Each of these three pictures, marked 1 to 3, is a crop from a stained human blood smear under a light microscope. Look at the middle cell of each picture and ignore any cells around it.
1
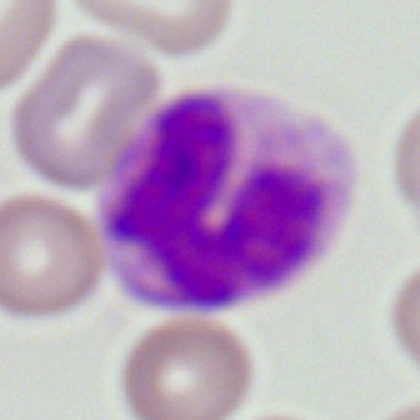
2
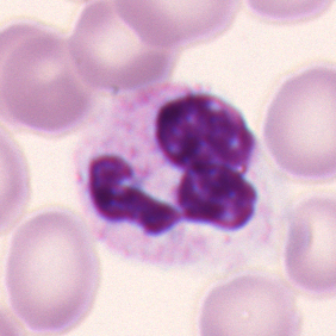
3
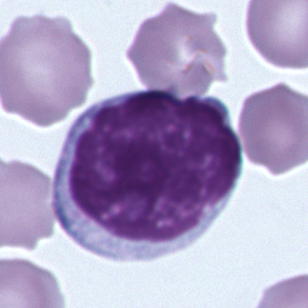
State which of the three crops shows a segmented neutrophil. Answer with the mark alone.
2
